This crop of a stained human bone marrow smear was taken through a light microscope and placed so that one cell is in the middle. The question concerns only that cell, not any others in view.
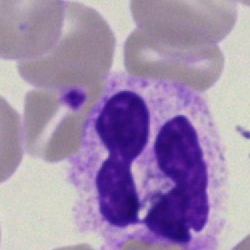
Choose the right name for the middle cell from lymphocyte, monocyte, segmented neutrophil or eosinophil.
segmented neutrophil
